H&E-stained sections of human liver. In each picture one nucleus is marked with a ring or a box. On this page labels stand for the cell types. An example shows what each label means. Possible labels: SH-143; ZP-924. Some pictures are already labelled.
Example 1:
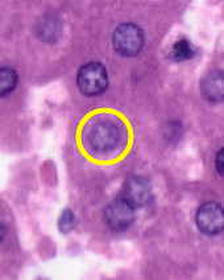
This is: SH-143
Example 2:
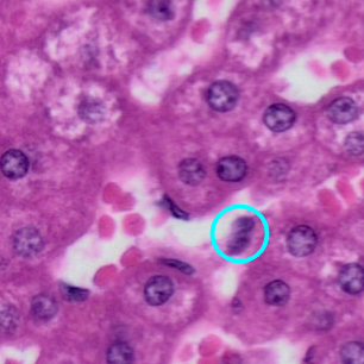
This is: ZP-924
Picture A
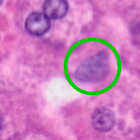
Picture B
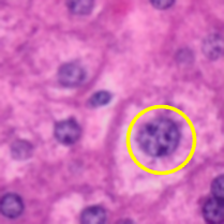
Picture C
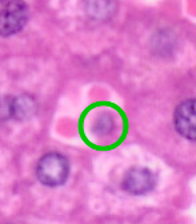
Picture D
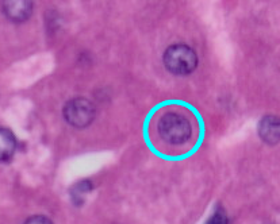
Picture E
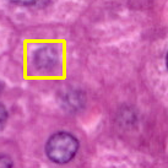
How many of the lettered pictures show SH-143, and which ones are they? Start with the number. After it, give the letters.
3: B, D, E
